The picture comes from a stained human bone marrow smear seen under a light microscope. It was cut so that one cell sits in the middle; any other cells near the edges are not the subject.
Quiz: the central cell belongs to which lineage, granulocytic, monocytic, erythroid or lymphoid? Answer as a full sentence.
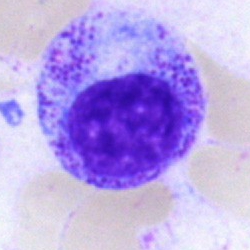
That the central cell belongs to the granulocytic lineage is the finding here.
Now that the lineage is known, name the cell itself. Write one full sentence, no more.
The cell featured at the centre of this crop is a myelocyte.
